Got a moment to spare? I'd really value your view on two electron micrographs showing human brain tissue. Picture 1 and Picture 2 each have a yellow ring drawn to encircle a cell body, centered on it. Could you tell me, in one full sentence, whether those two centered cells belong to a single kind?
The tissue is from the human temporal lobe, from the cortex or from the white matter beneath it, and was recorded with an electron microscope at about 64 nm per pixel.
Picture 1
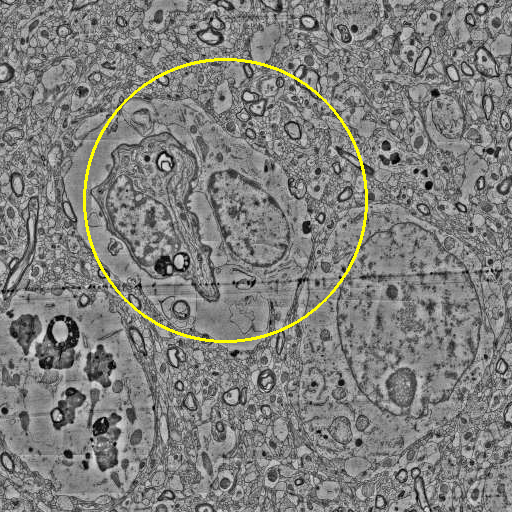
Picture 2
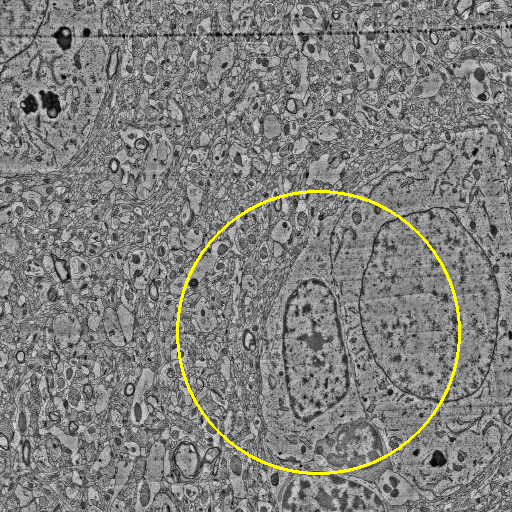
Yes, the two centered cells in Picture 1 and Picture 2 are of a single kind.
